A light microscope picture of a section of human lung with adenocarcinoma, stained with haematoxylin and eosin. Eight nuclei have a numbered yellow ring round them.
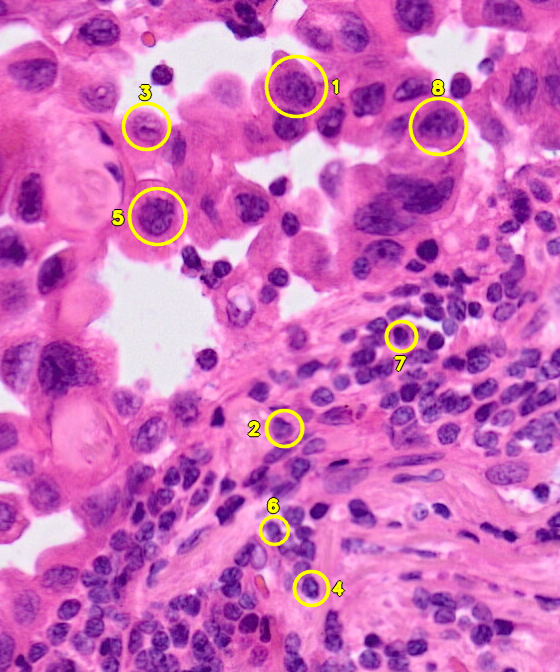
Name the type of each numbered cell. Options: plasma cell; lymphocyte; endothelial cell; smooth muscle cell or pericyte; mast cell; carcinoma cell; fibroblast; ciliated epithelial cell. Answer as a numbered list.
1. carcinoma cell
2. lymphocyte
3. carcinoma cell
4. lymphocyte
5. carcinoma cell
6. lymphocyte
7. lymphocyte
8. carcinoma cell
